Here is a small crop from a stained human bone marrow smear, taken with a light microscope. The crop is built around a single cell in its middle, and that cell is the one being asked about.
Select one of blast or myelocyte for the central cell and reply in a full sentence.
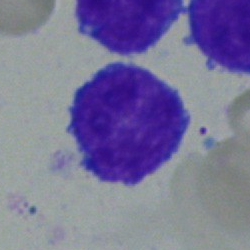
In the crop, the cell of interest at the centre is a blast.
